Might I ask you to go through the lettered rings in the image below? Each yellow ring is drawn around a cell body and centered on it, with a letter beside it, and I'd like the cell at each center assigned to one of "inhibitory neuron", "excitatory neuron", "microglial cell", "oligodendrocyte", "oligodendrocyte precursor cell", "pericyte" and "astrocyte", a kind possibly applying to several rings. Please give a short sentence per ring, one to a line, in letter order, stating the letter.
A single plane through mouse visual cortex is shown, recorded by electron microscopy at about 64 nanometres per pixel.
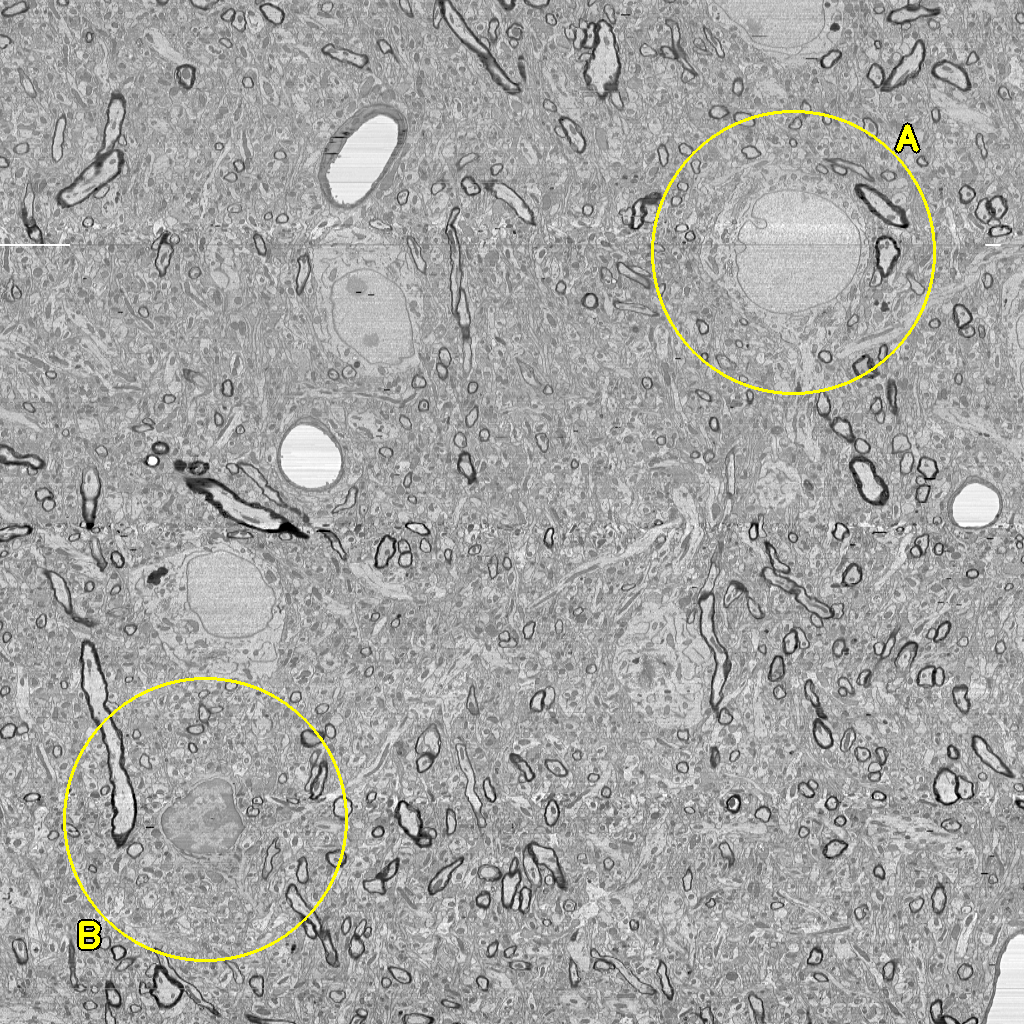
Ring A is centered on the body of an excitatory neuron.
Ring B is centered on the body of a microglial cell.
